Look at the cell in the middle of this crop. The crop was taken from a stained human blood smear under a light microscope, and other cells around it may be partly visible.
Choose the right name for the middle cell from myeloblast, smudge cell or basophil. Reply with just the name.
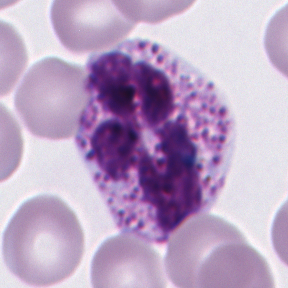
basophil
